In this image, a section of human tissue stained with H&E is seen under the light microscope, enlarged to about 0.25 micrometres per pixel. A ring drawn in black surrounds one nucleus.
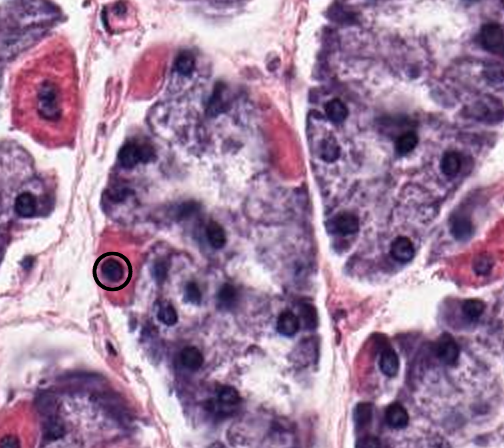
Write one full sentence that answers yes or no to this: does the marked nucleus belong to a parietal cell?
Yes, the marked nucleus is a nucleus of a parietal cell.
